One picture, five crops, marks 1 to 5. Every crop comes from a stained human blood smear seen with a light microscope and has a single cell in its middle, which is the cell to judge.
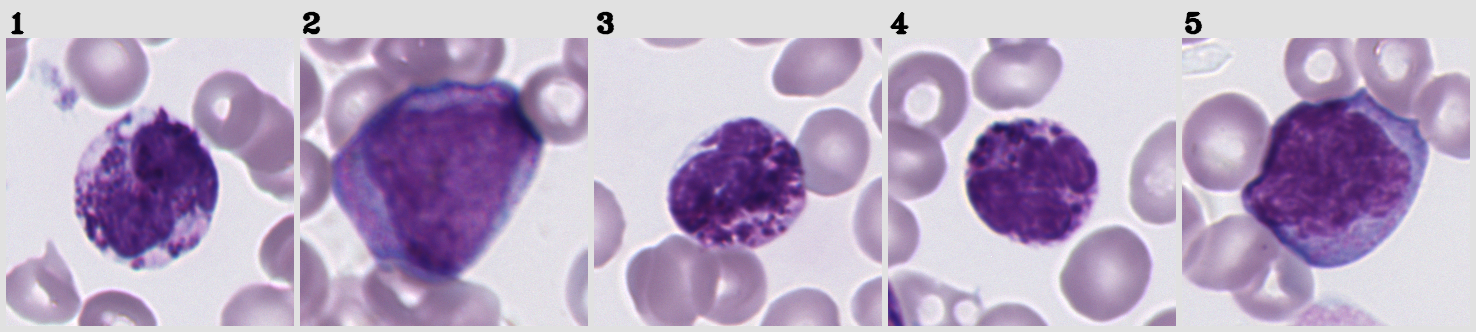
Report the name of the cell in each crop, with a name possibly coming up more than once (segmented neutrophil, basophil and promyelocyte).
1: basophil
2: promyelocyte
3: basophil
4: basophil
5: promyelocyte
